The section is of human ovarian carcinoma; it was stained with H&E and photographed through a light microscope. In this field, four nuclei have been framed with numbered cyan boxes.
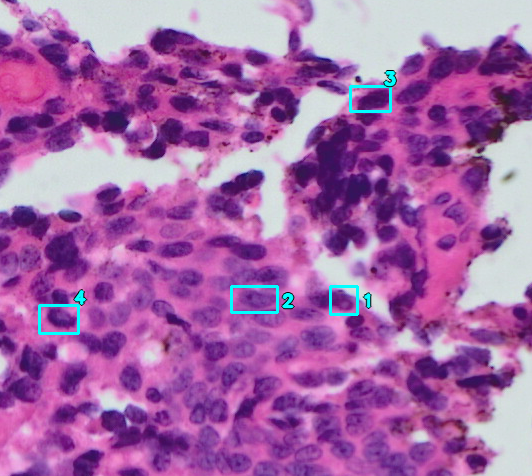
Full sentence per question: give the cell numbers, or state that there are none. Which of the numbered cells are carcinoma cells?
The cells with labels 1, 2 and 3 are carcinoma cells.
